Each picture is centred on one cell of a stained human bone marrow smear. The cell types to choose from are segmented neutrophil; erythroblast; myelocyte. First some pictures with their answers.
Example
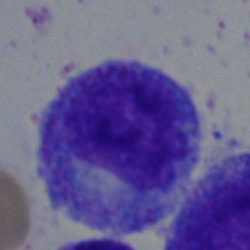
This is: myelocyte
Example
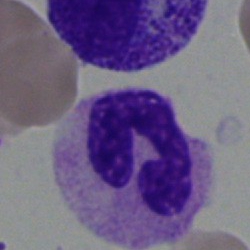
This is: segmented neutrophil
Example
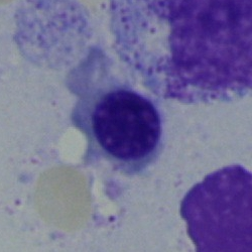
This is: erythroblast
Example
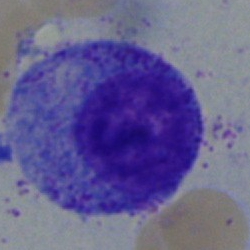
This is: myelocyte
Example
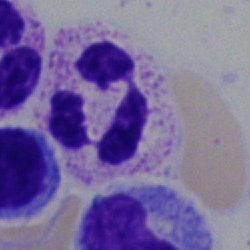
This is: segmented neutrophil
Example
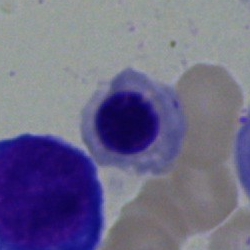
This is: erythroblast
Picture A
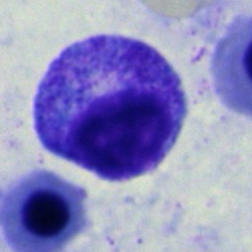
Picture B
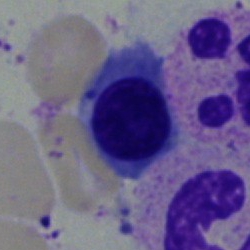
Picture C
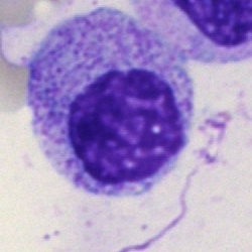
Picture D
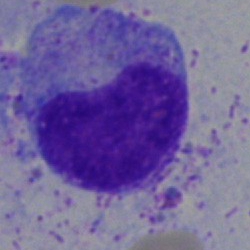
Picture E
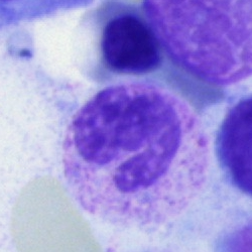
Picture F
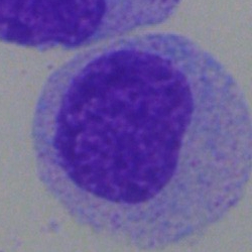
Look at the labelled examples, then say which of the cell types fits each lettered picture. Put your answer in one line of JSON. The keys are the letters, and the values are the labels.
{"A": "myelocyte", "B": "erythroblast", "C": "myelocyte", "D": "myelocyte", "E": "segmented neutrophil", "F": "myelocyte"}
